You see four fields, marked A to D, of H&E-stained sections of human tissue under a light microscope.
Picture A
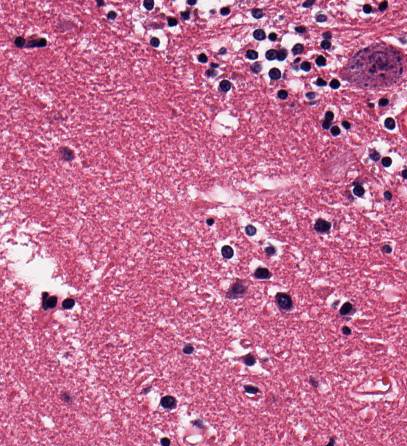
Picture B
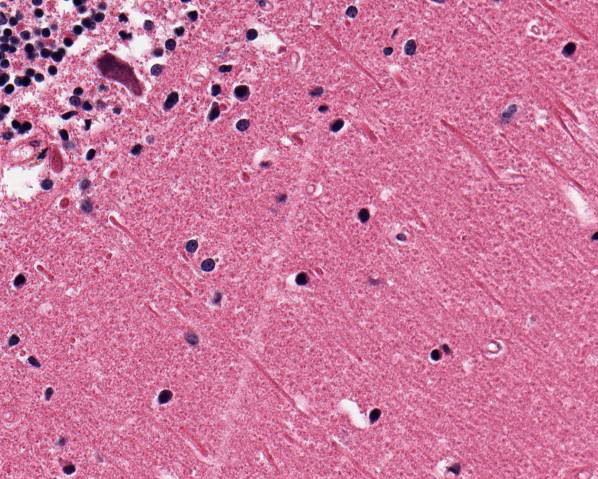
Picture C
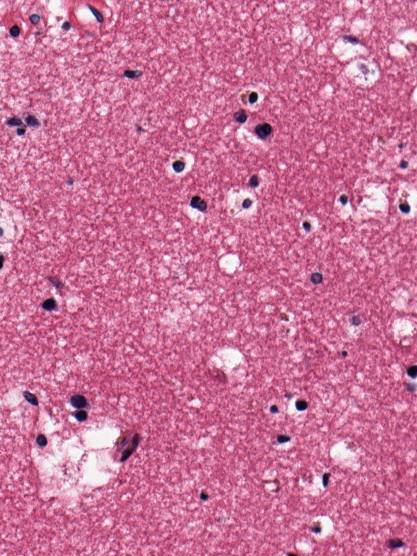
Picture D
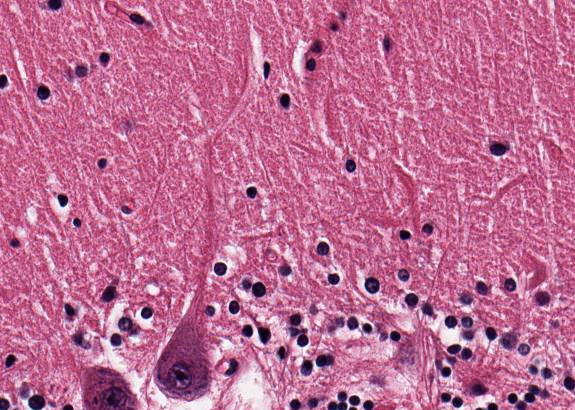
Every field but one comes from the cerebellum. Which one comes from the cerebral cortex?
C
